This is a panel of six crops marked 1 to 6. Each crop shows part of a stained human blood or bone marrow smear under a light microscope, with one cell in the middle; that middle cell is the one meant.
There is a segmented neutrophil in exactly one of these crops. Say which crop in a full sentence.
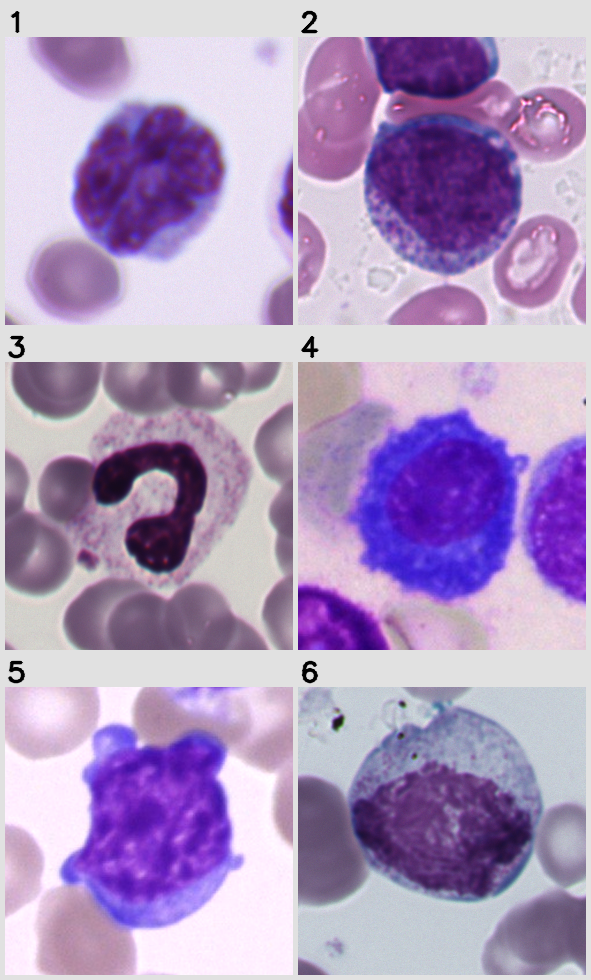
In this series, a segmented neutrophil is shown by crop 3.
